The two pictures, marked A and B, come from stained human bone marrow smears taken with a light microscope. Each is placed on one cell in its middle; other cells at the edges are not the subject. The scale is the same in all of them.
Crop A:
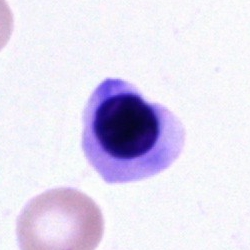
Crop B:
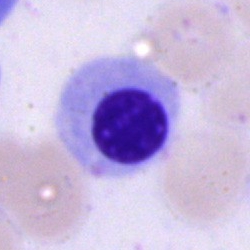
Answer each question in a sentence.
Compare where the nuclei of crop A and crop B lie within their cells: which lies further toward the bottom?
It is the nucleus in crop B that lies further toward the bottom of its cell.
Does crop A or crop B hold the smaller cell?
Smaller is the cell in crop A, and the other is about 1.5 times as large in area.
